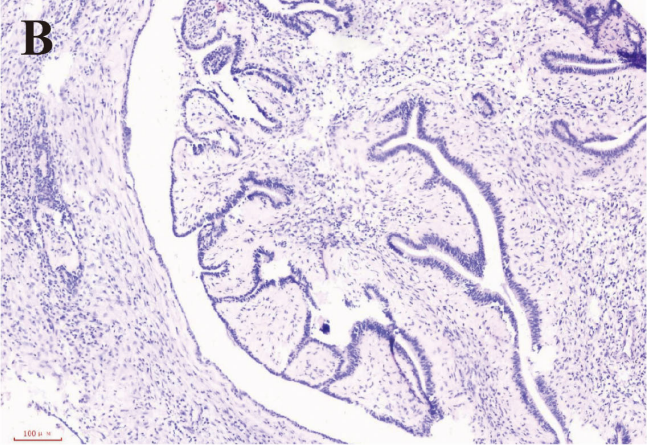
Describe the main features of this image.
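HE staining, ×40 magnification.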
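A fibroepithelial tumour is shown with elongated, branching cleft-like spaces lined by a thin layer of epithelial cells with dark purple nuclei. The epithelium-lined clefts project into a stroma of pale pink matrix containing spindle-shaped cells, producing a leaf-like pattern.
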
